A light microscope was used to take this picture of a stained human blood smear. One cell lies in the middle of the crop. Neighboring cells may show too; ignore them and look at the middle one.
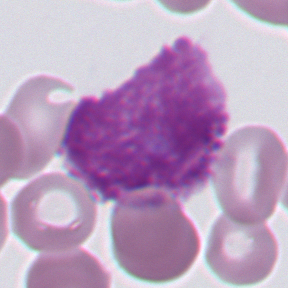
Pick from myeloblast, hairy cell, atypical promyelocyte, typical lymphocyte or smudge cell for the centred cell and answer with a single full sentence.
The middle of this crop is occupied by a smudge cell.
